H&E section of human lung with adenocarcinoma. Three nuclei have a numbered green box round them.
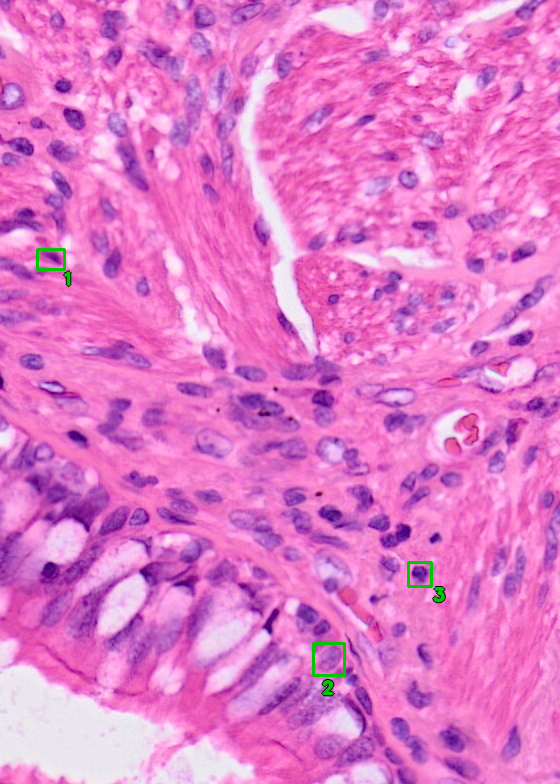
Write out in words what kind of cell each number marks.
Cell 1 is a smooth muscle cell or pericyte, cell 2 is a ciliated epithelial cell and cell 3 is a lymphocyte.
